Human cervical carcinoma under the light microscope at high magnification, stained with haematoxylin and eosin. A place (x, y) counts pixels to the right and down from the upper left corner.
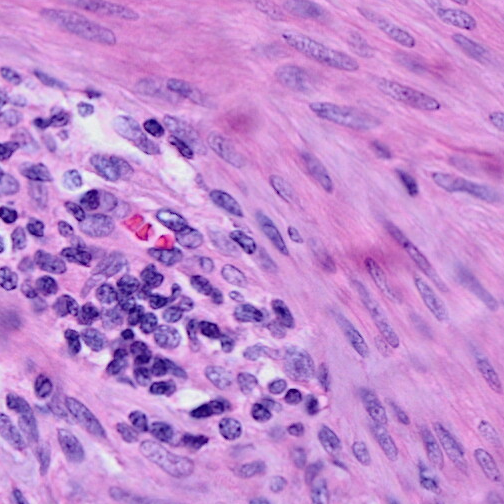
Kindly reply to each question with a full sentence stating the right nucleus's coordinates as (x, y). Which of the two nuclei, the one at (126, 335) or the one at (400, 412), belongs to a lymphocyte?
Here the nucleus at (126, 335) is the one that belongs to a lymphocyte.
